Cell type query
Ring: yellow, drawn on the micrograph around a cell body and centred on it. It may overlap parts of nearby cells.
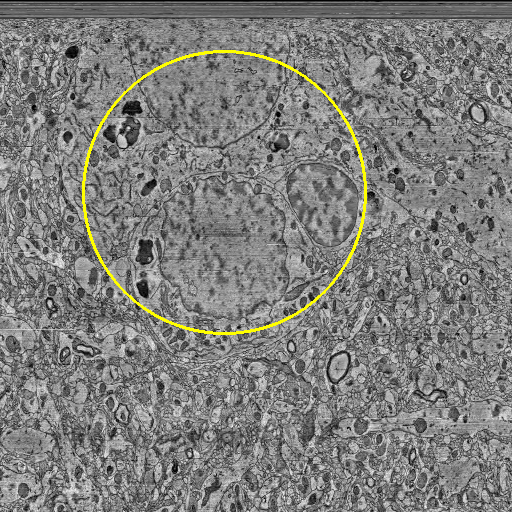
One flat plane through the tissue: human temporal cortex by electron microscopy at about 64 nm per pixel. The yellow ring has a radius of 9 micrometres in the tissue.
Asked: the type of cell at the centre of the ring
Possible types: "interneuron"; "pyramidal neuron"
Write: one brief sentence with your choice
The ring marks an interneuron.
